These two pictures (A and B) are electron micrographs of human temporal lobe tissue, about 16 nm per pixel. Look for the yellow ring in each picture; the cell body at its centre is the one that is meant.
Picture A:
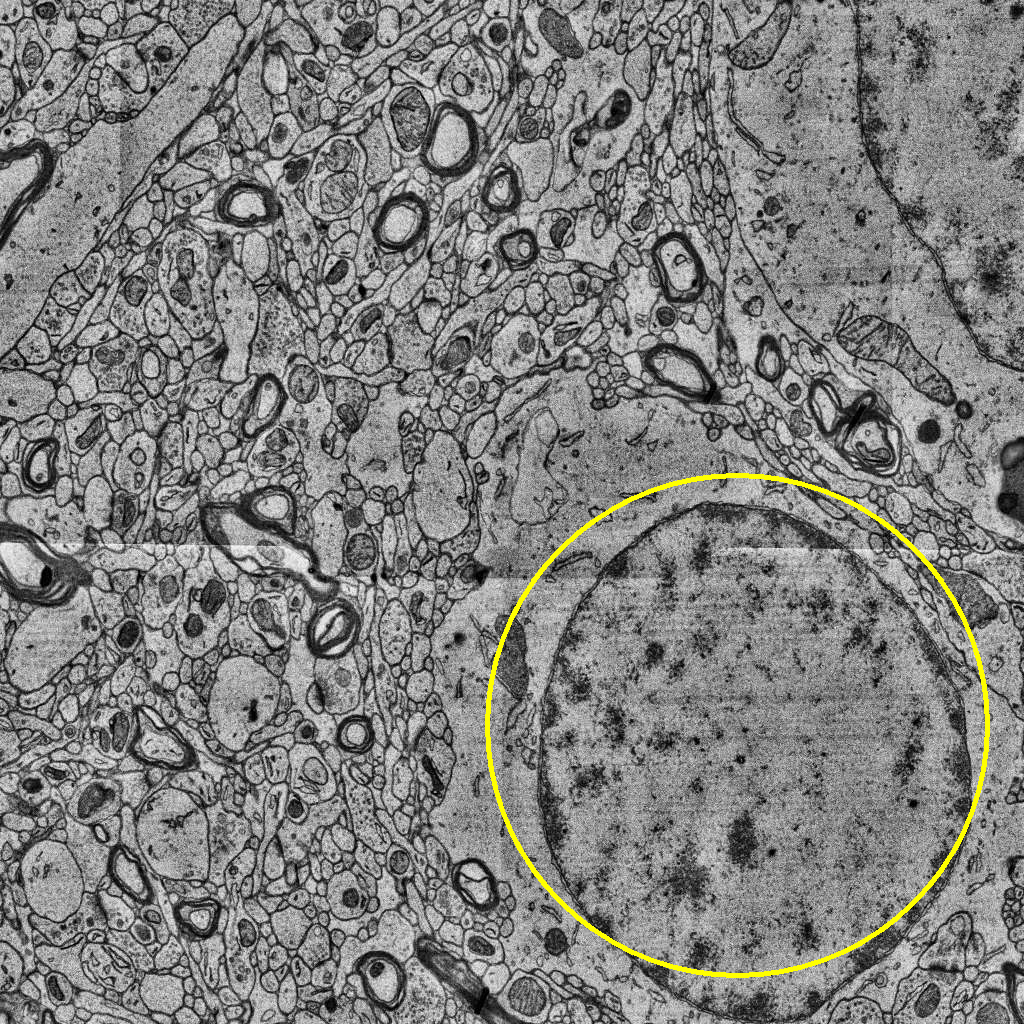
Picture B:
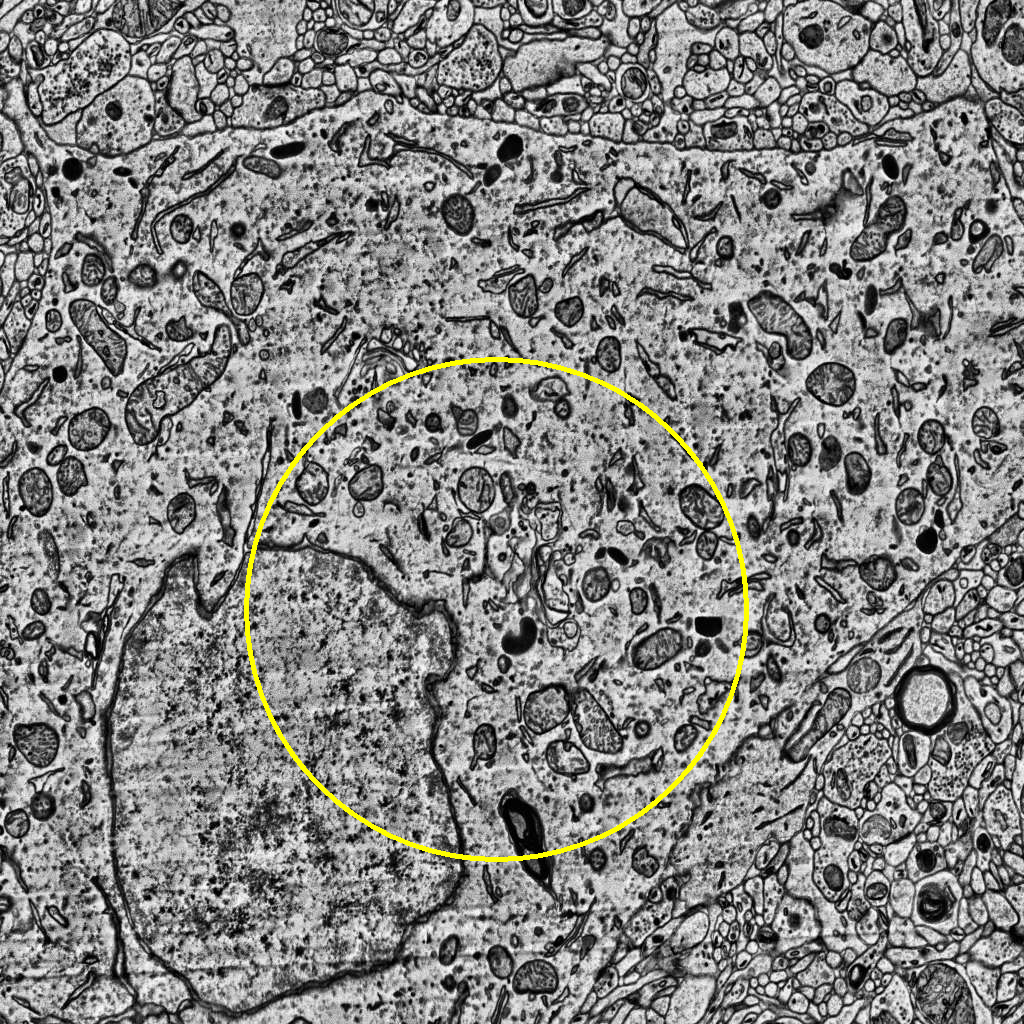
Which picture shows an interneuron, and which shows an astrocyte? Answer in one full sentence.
The cell in picture A is an astrocyte, and the one in picture B is an interneuron.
